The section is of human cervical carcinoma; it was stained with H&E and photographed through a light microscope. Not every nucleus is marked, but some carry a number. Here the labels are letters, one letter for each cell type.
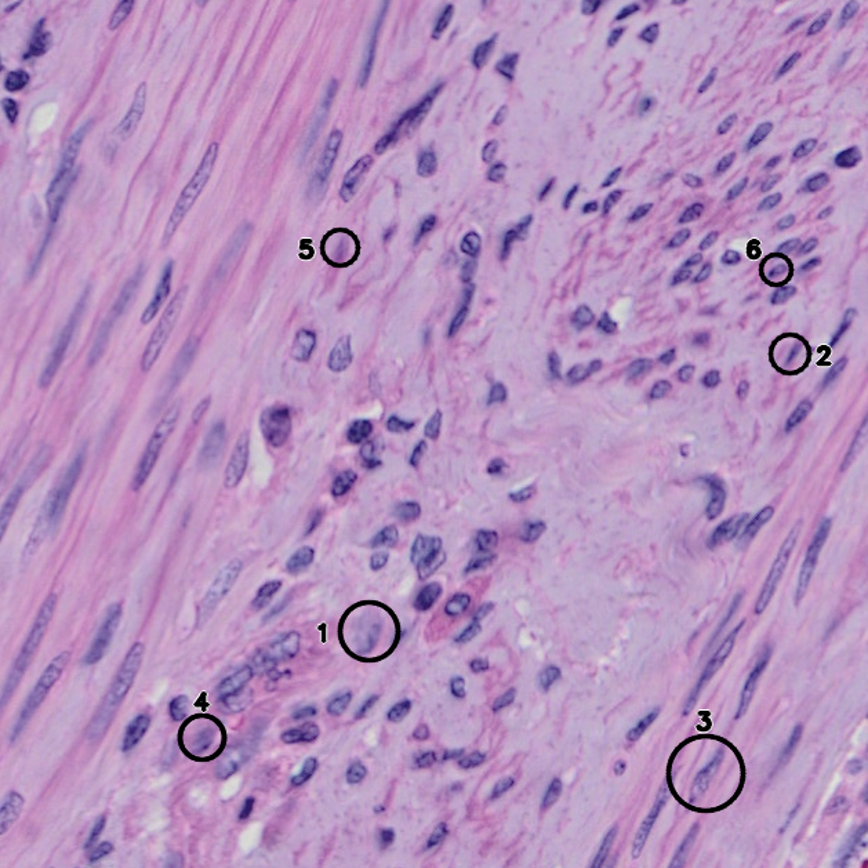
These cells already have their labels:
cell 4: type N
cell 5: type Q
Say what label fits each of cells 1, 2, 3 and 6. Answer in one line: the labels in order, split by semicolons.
type N; type Q; type Q; type Q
